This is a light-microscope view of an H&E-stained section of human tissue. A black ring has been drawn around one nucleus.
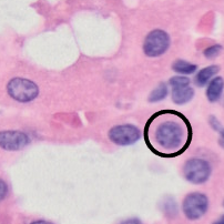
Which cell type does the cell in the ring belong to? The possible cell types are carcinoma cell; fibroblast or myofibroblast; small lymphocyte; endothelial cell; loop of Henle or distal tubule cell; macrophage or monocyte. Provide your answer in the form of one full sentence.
Among the cells in this section, the cell in the ring is a loop of Henle or distal tubule cell.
